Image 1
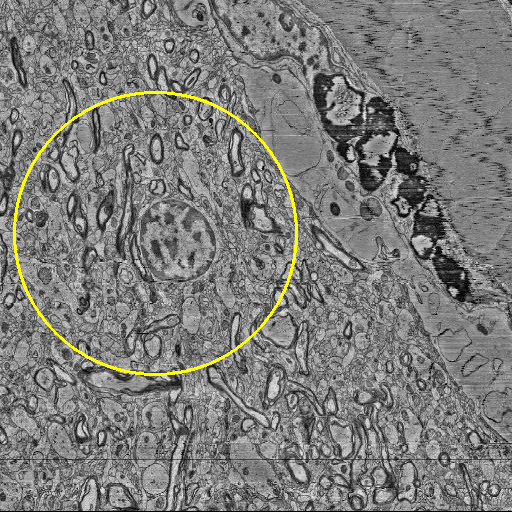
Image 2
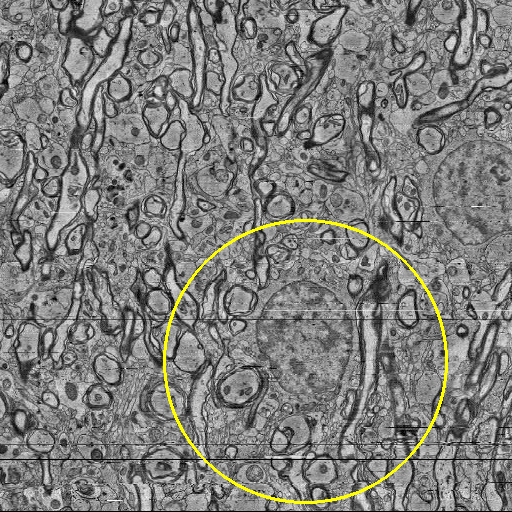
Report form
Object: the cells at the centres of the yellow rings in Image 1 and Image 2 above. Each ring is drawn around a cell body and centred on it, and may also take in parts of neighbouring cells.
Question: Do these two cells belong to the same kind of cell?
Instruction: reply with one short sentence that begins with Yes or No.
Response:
No, they belong to two kinds of cell.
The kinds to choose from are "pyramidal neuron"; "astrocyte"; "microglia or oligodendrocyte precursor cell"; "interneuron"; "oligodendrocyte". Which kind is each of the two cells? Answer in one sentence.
Of the two, the first cell is a microglial cell or oligodendrocyte precursor cell and the second cell is an oligodendrocyte.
